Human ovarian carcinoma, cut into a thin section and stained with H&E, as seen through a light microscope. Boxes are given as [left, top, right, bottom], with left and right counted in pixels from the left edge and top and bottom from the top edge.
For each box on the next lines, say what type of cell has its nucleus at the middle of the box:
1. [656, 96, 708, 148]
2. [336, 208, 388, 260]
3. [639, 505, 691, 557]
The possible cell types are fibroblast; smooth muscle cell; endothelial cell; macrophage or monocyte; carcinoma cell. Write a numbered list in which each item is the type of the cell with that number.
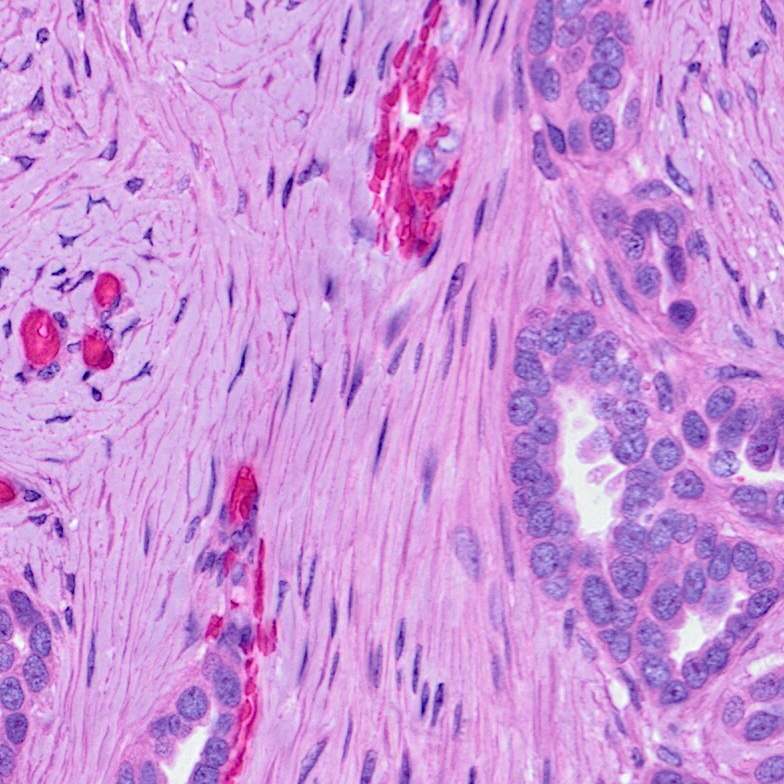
1. fibroblast
2. fibroblast
3. carcinoma cell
